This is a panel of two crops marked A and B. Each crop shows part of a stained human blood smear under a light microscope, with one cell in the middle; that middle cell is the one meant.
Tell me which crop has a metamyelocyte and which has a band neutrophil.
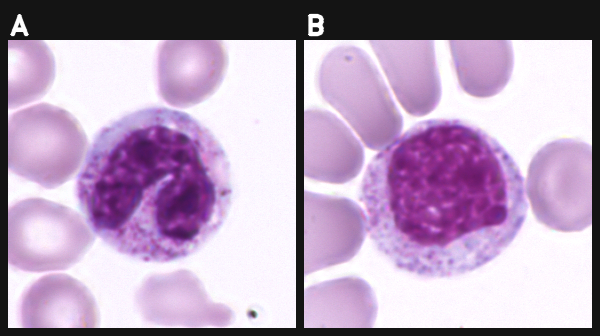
A: band neutrophil
B: metamyelocyte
